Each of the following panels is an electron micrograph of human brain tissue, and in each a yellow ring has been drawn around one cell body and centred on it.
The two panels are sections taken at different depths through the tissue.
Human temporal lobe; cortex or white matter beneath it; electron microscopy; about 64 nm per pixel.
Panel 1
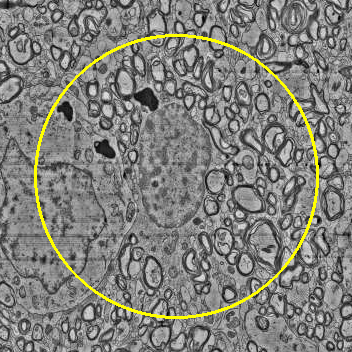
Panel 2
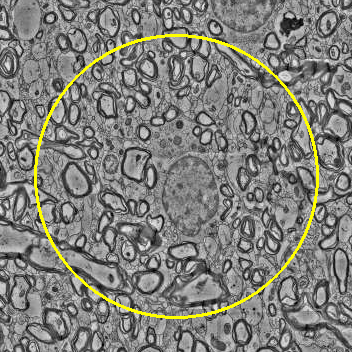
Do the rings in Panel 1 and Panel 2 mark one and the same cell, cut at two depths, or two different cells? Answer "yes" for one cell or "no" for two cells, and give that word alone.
no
